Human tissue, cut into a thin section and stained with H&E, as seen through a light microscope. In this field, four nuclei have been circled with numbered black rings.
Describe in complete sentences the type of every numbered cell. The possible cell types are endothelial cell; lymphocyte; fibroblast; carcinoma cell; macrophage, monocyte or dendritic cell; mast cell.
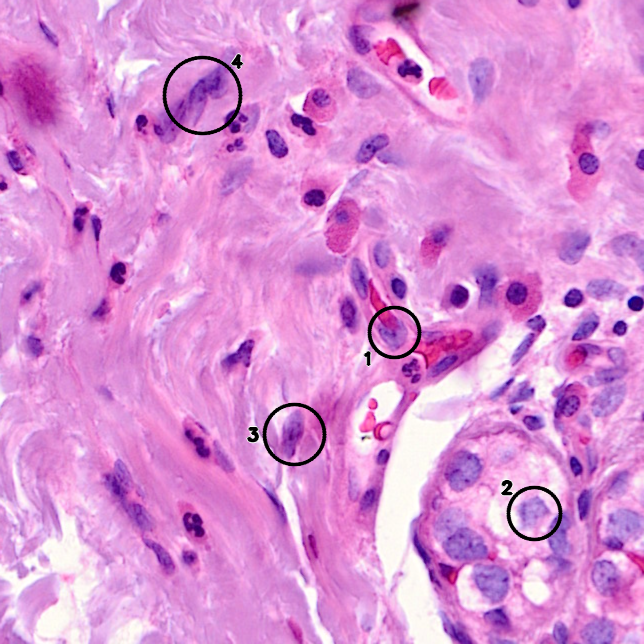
Cell 1 is an endothelial cell, cell 2 is a carcinoma cell, cell 3 is a fibroblast and cell 4 is a fibroblast.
